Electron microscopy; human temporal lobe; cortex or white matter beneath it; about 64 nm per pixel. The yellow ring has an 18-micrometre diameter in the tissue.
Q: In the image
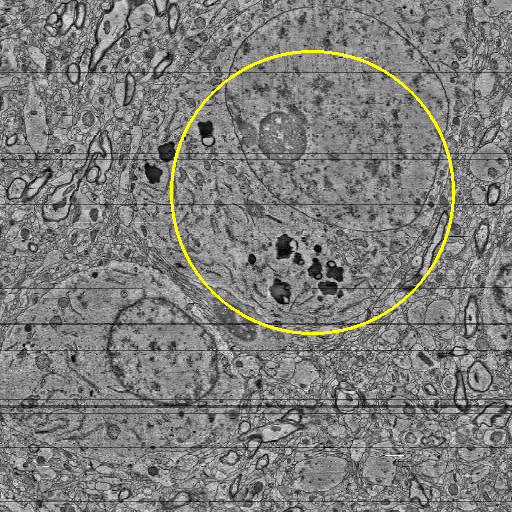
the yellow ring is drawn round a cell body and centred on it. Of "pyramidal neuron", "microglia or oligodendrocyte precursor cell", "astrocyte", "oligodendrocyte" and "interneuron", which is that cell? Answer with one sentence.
The cell centred in the ring is a pyramidal neuron.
